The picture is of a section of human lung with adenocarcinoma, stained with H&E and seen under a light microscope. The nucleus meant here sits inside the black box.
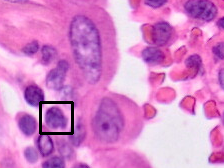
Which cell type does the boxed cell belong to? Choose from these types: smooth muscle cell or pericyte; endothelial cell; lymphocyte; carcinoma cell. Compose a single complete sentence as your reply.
On this particular slide, the boxed cell is a lymphocyte.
